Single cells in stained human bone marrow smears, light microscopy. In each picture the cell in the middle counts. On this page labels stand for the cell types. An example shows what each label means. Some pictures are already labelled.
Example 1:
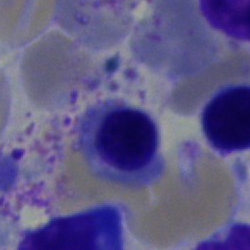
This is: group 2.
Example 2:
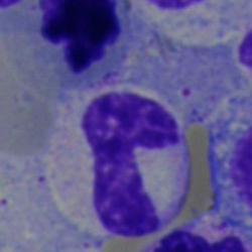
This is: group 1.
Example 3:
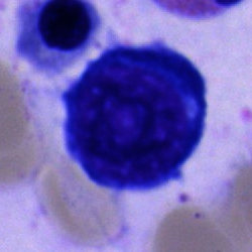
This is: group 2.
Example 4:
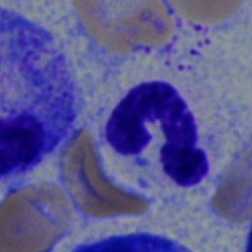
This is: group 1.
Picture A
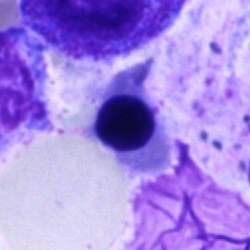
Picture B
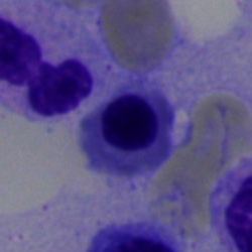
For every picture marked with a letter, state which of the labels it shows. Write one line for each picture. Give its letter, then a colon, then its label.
A: group 2.
B: group 2.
